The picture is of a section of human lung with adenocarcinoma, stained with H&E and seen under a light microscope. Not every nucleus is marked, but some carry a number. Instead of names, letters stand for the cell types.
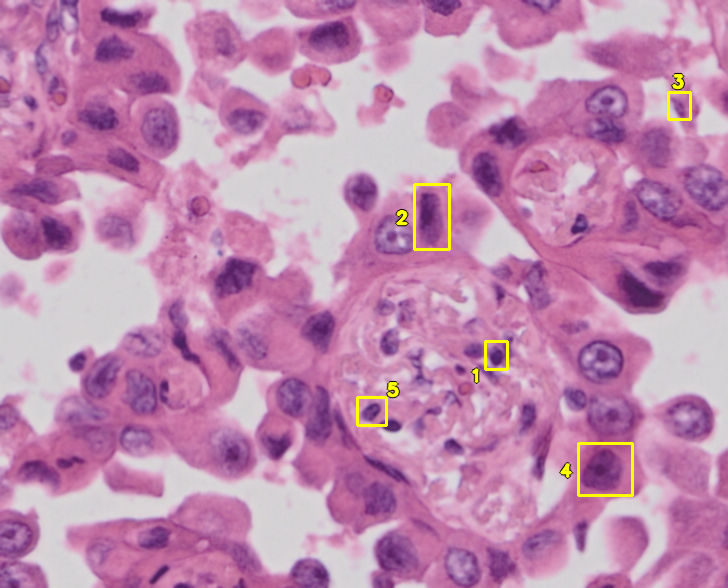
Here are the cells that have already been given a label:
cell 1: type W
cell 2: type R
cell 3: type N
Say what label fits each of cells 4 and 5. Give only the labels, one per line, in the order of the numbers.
type R
type W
